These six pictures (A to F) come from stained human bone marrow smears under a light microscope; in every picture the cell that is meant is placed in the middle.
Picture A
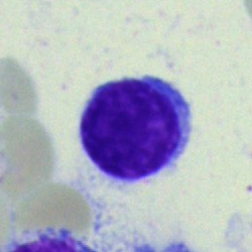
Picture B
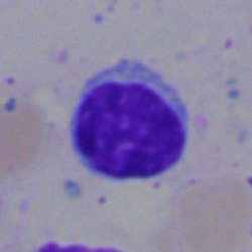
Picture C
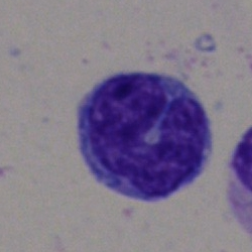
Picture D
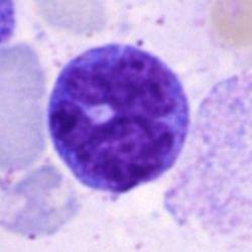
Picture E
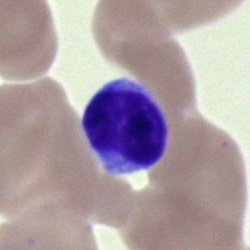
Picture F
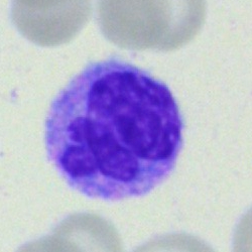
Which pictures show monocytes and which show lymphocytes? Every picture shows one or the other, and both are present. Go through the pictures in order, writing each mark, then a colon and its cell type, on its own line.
A: lymphocyte
B: lymphocyte
C: monocyte
D: monocyte
E: lymphocyte
F: monocyte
